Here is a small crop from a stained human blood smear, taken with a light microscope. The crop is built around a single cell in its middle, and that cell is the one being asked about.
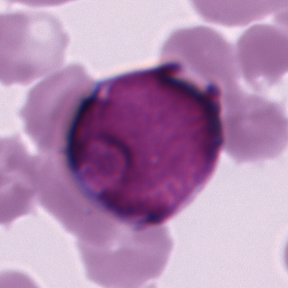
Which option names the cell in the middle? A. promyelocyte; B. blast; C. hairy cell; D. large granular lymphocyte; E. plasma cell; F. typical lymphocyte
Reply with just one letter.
B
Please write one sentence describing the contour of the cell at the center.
It is the contour of the cell that is irregular, being ragged or projecting outward.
